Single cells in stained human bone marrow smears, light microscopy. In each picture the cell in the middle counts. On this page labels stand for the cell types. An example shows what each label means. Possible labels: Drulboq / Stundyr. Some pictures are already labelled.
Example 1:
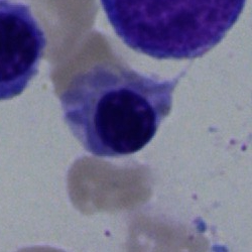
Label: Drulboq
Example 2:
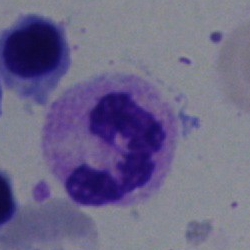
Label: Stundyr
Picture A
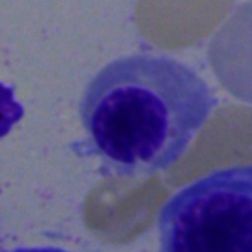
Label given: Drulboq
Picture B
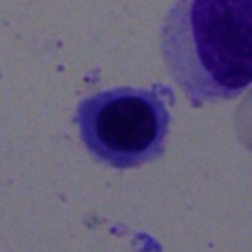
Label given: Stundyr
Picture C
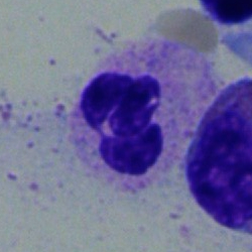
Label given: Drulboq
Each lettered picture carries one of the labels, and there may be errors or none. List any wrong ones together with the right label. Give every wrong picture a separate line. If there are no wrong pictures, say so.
B: not Stundyr but Drulboq
C: not Drulboq but Stundyr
